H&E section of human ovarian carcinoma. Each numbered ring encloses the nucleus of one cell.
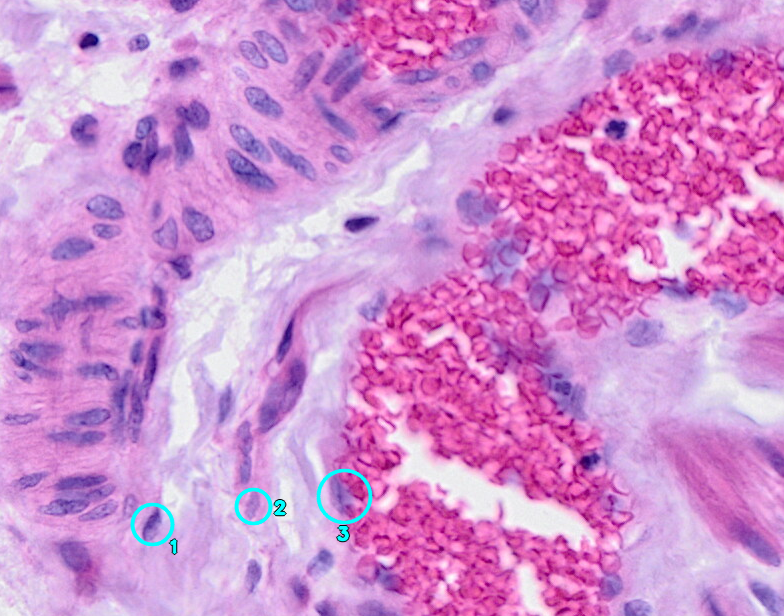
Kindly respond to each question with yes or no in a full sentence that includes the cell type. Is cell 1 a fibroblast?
Yes, the one numbered 1 is a fibroblast.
